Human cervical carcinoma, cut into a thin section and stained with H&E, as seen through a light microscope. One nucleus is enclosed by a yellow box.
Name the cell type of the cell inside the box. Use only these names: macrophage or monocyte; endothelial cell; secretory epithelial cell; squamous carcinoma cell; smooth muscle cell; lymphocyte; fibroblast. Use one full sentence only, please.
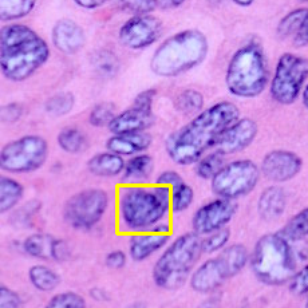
As to its cell type, the cell inside the box is a squamous carcinoma cell.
